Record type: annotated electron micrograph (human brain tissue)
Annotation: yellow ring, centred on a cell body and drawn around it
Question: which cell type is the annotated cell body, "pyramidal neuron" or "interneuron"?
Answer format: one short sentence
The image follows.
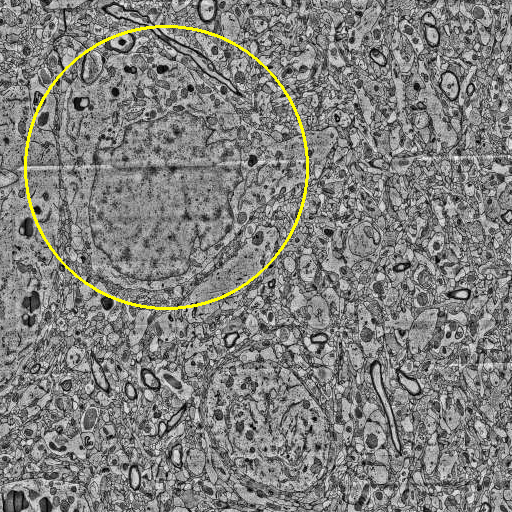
The annotated cell body is that of an interneuron.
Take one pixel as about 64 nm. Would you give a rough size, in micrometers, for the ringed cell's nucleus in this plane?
Roughly 11 micrometres by 10 micrometres, in this plane.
